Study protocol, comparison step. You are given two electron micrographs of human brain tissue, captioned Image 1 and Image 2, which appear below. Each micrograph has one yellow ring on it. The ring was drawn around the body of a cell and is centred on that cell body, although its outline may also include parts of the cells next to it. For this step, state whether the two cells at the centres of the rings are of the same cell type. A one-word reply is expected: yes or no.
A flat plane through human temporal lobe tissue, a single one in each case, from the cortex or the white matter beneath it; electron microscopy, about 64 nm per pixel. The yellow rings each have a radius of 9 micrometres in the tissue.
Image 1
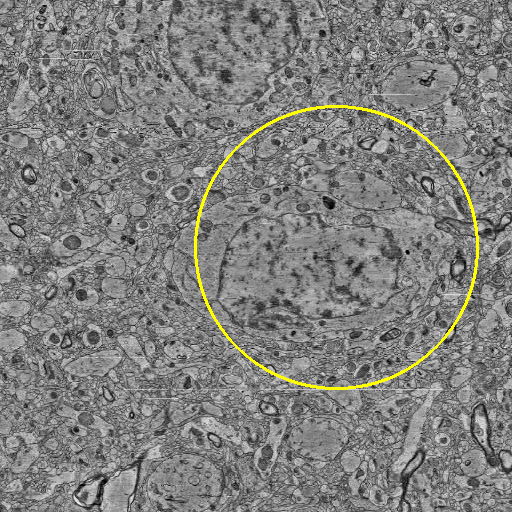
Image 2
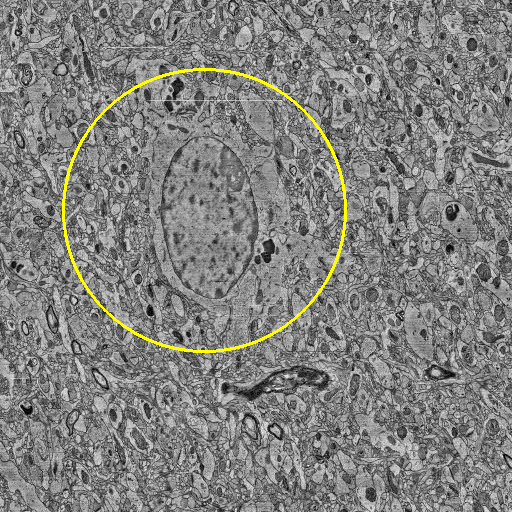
no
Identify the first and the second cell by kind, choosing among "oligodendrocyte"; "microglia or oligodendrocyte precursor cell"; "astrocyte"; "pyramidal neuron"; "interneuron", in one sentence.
The one in the first picture is an interneuron, while the one in the second is an astrocyte.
